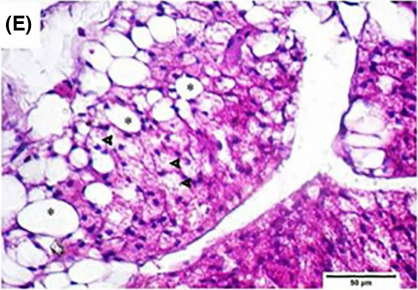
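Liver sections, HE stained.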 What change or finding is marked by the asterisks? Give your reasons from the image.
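Large clear round vacuoles under the asterisks. Each vacuole fills much of a cell.
Macrovesicular.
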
